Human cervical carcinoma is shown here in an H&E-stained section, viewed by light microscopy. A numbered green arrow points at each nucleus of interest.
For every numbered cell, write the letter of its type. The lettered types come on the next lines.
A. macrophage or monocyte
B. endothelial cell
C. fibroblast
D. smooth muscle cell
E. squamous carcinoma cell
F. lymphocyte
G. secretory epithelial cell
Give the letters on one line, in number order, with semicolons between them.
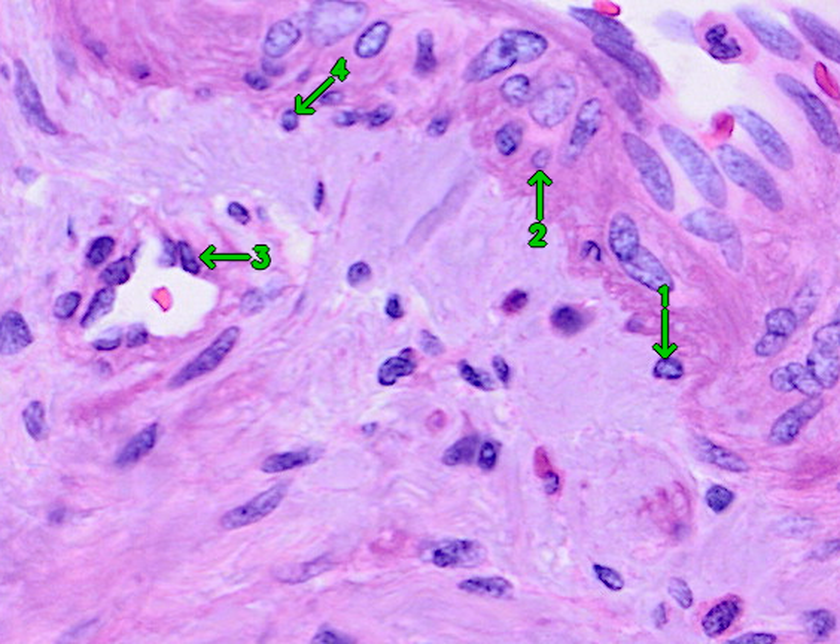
D; D; B; D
